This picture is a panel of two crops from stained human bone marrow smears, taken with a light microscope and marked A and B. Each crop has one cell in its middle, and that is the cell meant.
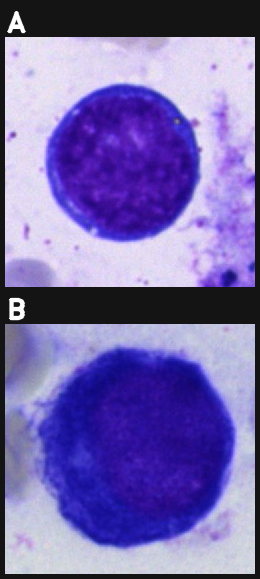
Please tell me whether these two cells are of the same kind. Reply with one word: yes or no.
yes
